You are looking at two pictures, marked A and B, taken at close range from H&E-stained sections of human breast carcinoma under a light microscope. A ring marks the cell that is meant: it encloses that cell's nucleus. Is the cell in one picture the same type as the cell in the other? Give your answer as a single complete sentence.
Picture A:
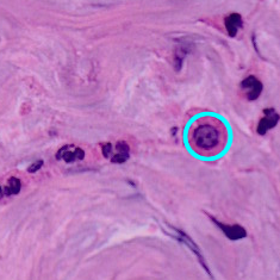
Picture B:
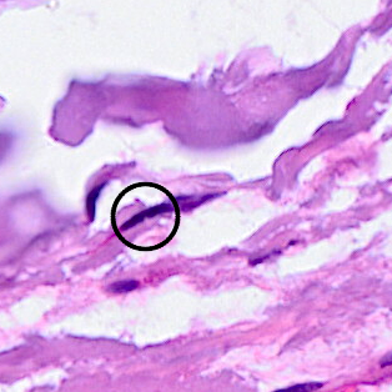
No, picture A shows a mast cell and picture B shows a fibroblast.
